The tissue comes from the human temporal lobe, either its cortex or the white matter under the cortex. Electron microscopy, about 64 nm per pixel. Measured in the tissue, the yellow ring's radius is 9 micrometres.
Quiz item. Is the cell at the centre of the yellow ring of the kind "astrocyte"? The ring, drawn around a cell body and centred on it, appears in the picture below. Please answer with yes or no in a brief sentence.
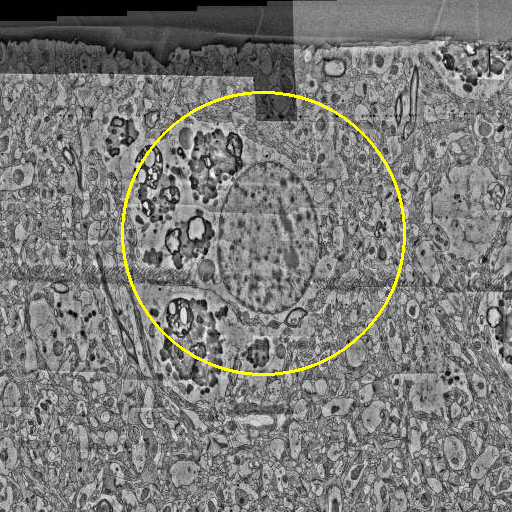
Yes, it is that kind of cell.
